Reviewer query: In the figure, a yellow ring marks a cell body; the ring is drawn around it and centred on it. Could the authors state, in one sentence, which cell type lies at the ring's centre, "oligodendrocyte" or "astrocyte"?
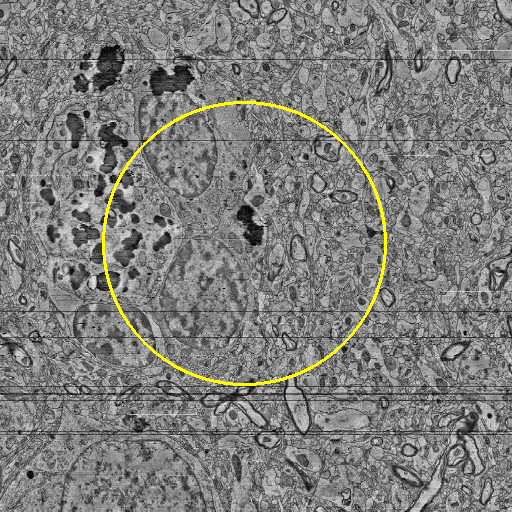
The ring is centred on an oligodendrocyte.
